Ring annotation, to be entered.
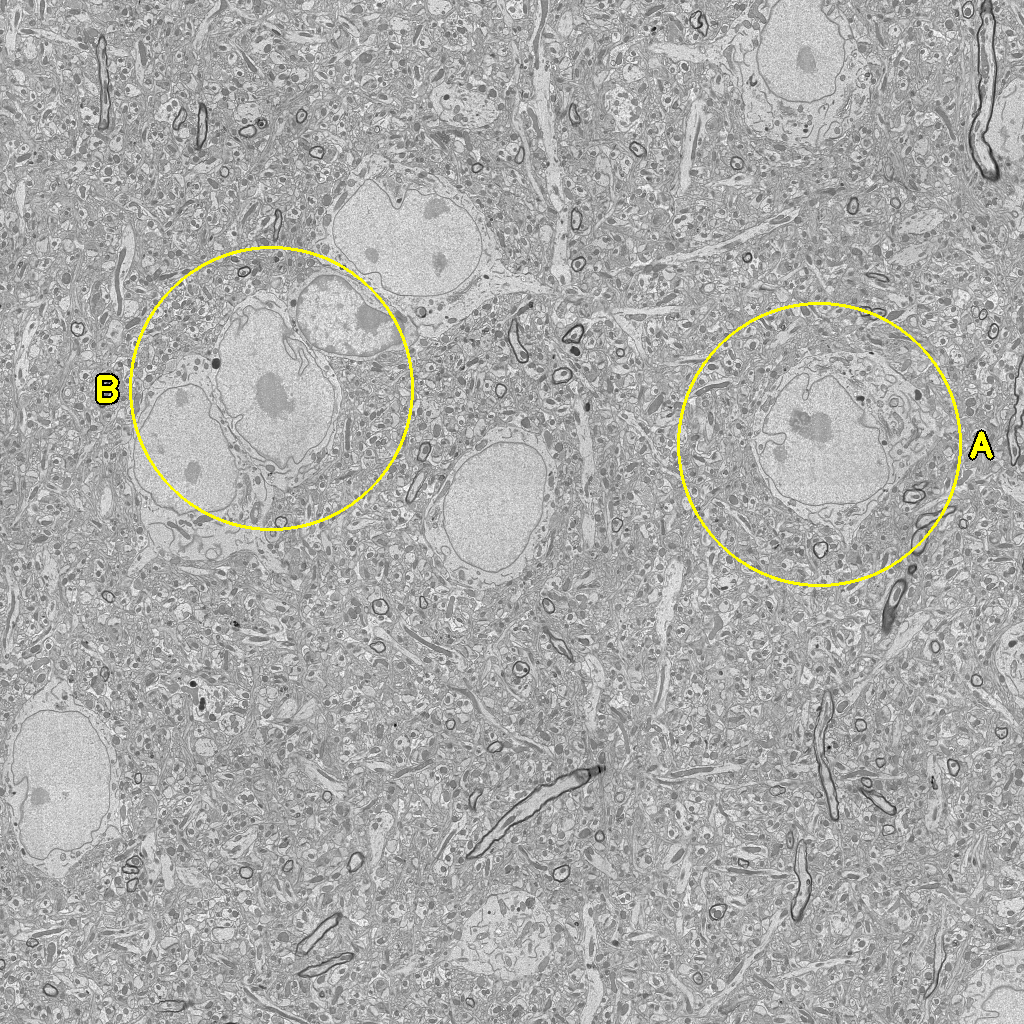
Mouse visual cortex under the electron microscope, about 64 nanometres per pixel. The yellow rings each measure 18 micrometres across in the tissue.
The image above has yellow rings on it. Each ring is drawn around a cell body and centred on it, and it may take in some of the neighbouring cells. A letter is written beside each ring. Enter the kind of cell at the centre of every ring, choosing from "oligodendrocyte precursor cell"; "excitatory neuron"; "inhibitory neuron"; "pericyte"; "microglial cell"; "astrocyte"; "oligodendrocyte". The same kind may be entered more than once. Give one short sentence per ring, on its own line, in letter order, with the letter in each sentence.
The ring marked A is centred on an inhibitory neuron.
The ring marked B is centred on an inhibitory neuron.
